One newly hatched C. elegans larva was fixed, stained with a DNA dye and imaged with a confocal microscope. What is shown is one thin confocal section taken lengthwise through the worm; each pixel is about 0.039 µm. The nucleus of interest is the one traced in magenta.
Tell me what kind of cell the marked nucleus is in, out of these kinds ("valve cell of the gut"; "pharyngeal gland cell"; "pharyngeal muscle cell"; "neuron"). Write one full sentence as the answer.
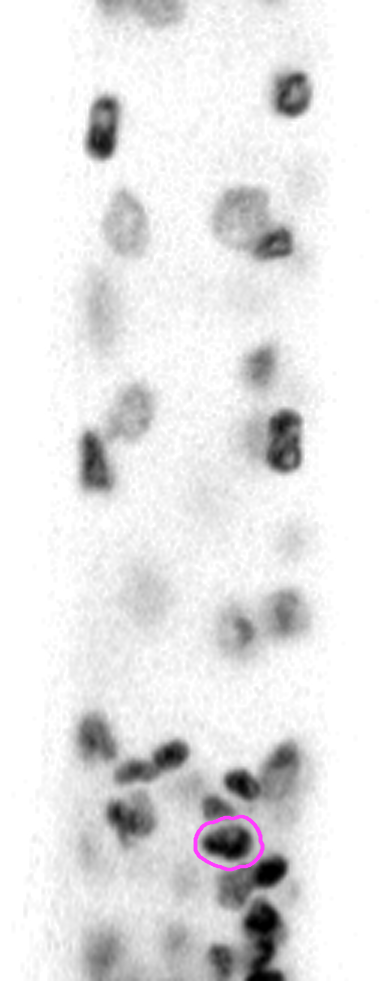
The cell with the marked nucleus is a pharyngeal gland cell.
